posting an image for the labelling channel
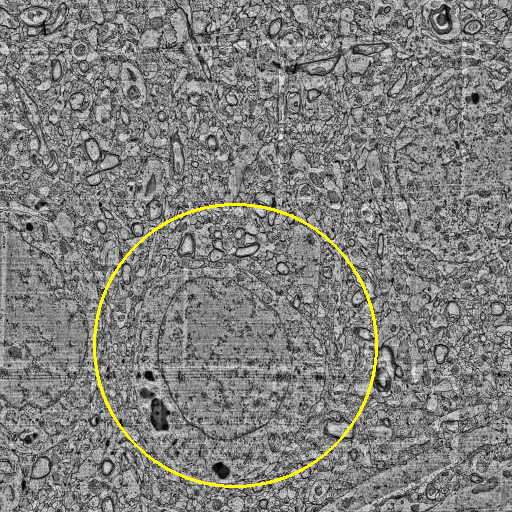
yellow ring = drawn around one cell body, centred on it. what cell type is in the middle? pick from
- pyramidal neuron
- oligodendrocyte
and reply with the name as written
pyramidal neuron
